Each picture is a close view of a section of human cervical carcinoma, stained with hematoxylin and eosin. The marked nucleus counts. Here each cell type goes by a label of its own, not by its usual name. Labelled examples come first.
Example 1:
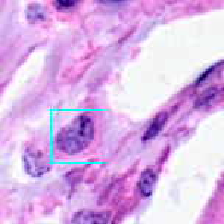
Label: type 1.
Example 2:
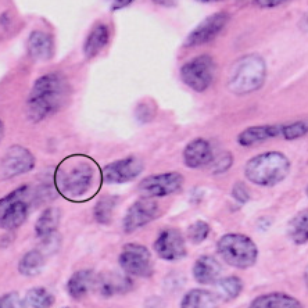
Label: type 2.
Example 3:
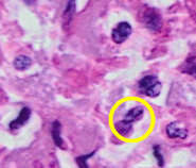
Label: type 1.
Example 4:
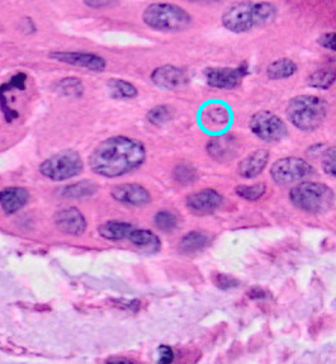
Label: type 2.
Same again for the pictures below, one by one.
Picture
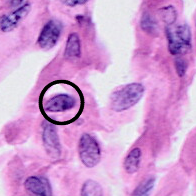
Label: type 2.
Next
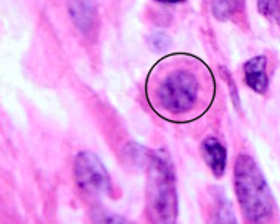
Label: type 1.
